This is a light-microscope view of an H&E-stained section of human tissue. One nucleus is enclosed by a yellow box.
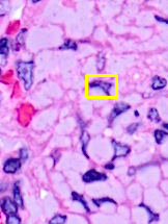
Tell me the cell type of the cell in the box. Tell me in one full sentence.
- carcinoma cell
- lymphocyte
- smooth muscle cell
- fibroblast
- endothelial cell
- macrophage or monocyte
Just put down that the cell in the box is a fibroblast.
